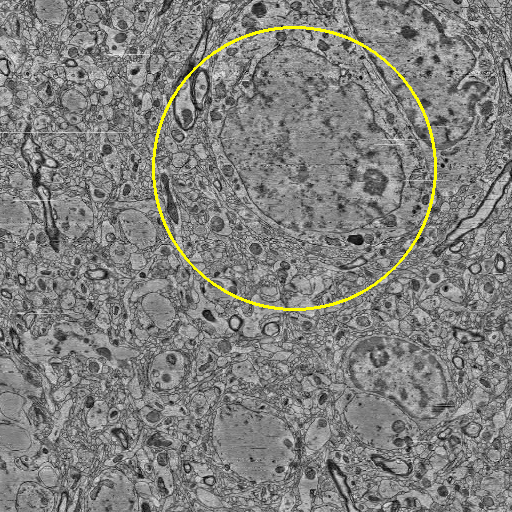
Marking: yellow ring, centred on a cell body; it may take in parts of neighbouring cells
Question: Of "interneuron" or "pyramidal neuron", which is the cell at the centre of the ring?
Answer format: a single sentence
The ring surrounds the body of a pyramidal neuron.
